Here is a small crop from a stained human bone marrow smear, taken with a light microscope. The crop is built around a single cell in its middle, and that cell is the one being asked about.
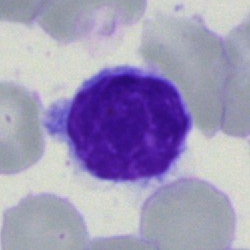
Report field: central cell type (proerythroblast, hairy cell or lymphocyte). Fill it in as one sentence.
The cell nearest the centre of this crop is a lymphocyte.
